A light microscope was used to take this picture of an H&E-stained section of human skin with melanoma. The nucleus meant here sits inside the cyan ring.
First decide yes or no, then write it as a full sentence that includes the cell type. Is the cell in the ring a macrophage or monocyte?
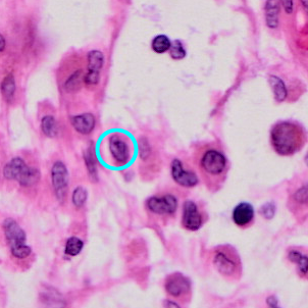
Yes, that the cell in the ring is a macrophage or monocyte is correct.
